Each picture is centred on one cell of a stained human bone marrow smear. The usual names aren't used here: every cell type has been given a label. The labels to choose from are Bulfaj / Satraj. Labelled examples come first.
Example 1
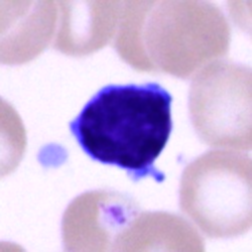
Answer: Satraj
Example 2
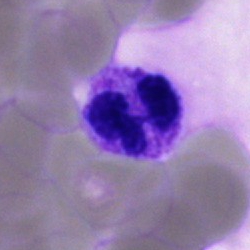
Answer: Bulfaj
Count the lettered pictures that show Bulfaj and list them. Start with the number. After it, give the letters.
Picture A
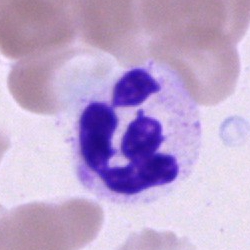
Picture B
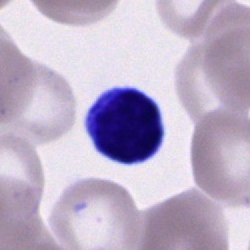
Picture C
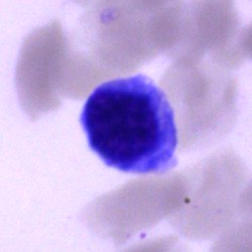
1: A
